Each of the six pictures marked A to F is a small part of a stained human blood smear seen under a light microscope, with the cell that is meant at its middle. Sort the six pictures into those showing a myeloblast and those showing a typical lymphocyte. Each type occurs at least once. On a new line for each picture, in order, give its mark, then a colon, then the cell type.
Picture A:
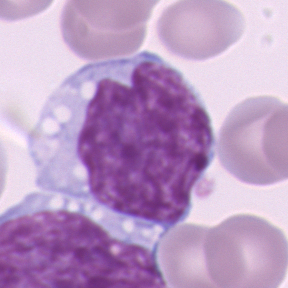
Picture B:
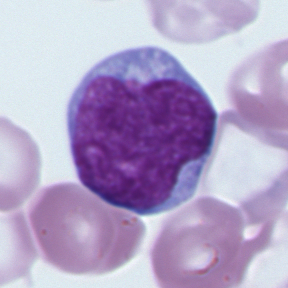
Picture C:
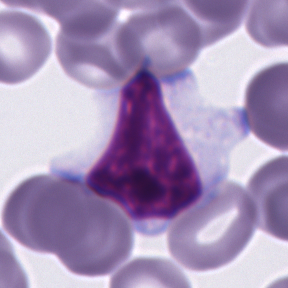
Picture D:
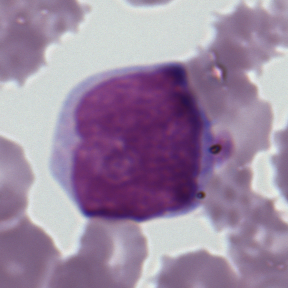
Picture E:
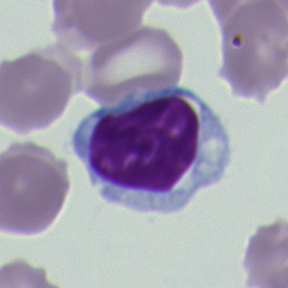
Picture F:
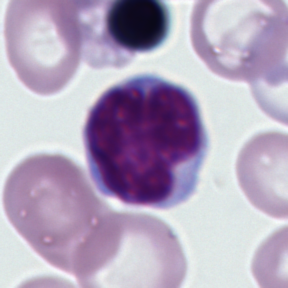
A: myeloblast
B: myeloblast
C: typical lymphocyte
D: myeloblast
E: typical lymphocyte
F: typical lymphocyte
